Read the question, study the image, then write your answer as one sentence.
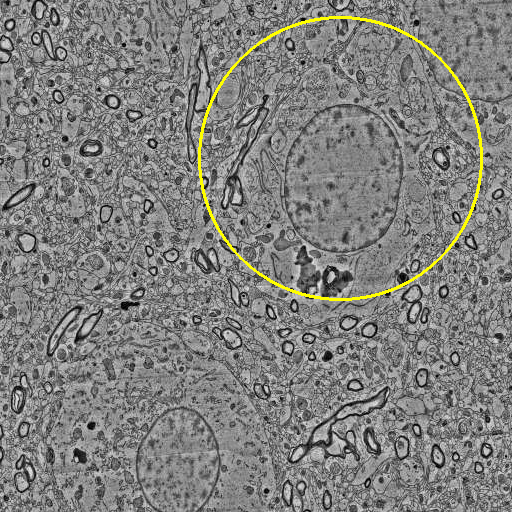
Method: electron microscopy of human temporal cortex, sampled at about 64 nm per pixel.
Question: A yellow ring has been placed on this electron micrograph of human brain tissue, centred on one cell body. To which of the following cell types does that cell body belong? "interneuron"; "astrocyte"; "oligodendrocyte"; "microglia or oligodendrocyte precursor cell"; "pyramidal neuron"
That cell body belongs to an astrocyte.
